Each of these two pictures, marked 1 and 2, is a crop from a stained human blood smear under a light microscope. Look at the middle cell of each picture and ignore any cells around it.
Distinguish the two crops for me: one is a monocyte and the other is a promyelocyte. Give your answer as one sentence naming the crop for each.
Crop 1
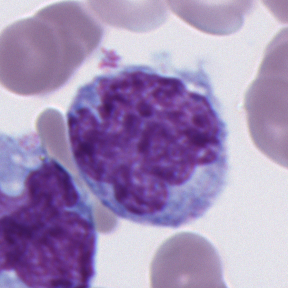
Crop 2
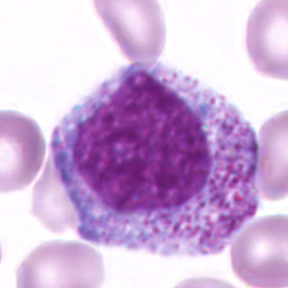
Crop 1 contains a monocyte, and crop 2, a promyelocyte.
